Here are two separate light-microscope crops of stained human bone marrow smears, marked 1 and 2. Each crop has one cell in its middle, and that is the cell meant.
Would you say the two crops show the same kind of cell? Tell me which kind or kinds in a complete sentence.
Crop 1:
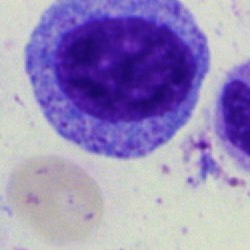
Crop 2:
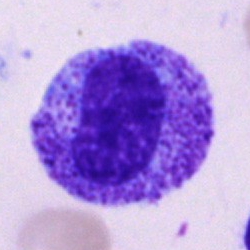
Yes, the centred cells are promyelocytes in both crops.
